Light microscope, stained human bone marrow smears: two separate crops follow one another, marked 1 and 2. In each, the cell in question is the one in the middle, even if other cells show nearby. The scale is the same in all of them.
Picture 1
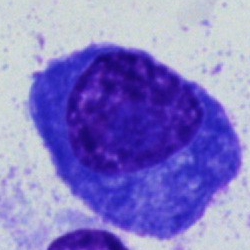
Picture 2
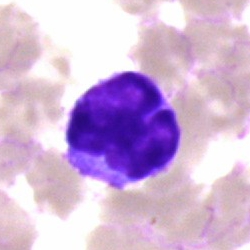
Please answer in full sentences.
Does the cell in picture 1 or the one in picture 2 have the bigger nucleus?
Picture 1 shows the larger nucleus; it covers about 1.5 times the area of the nucleus in picture 2.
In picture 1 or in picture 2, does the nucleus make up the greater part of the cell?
In picture 2 the nucleus takes up the larger part of its cell.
